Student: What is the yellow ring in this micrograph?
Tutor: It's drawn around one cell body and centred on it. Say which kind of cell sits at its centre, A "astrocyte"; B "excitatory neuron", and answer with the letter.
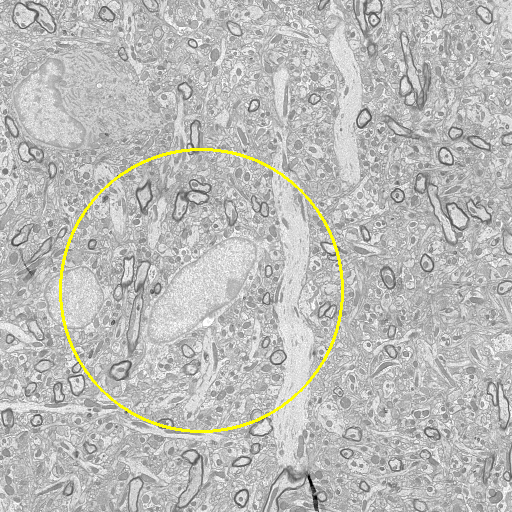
A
